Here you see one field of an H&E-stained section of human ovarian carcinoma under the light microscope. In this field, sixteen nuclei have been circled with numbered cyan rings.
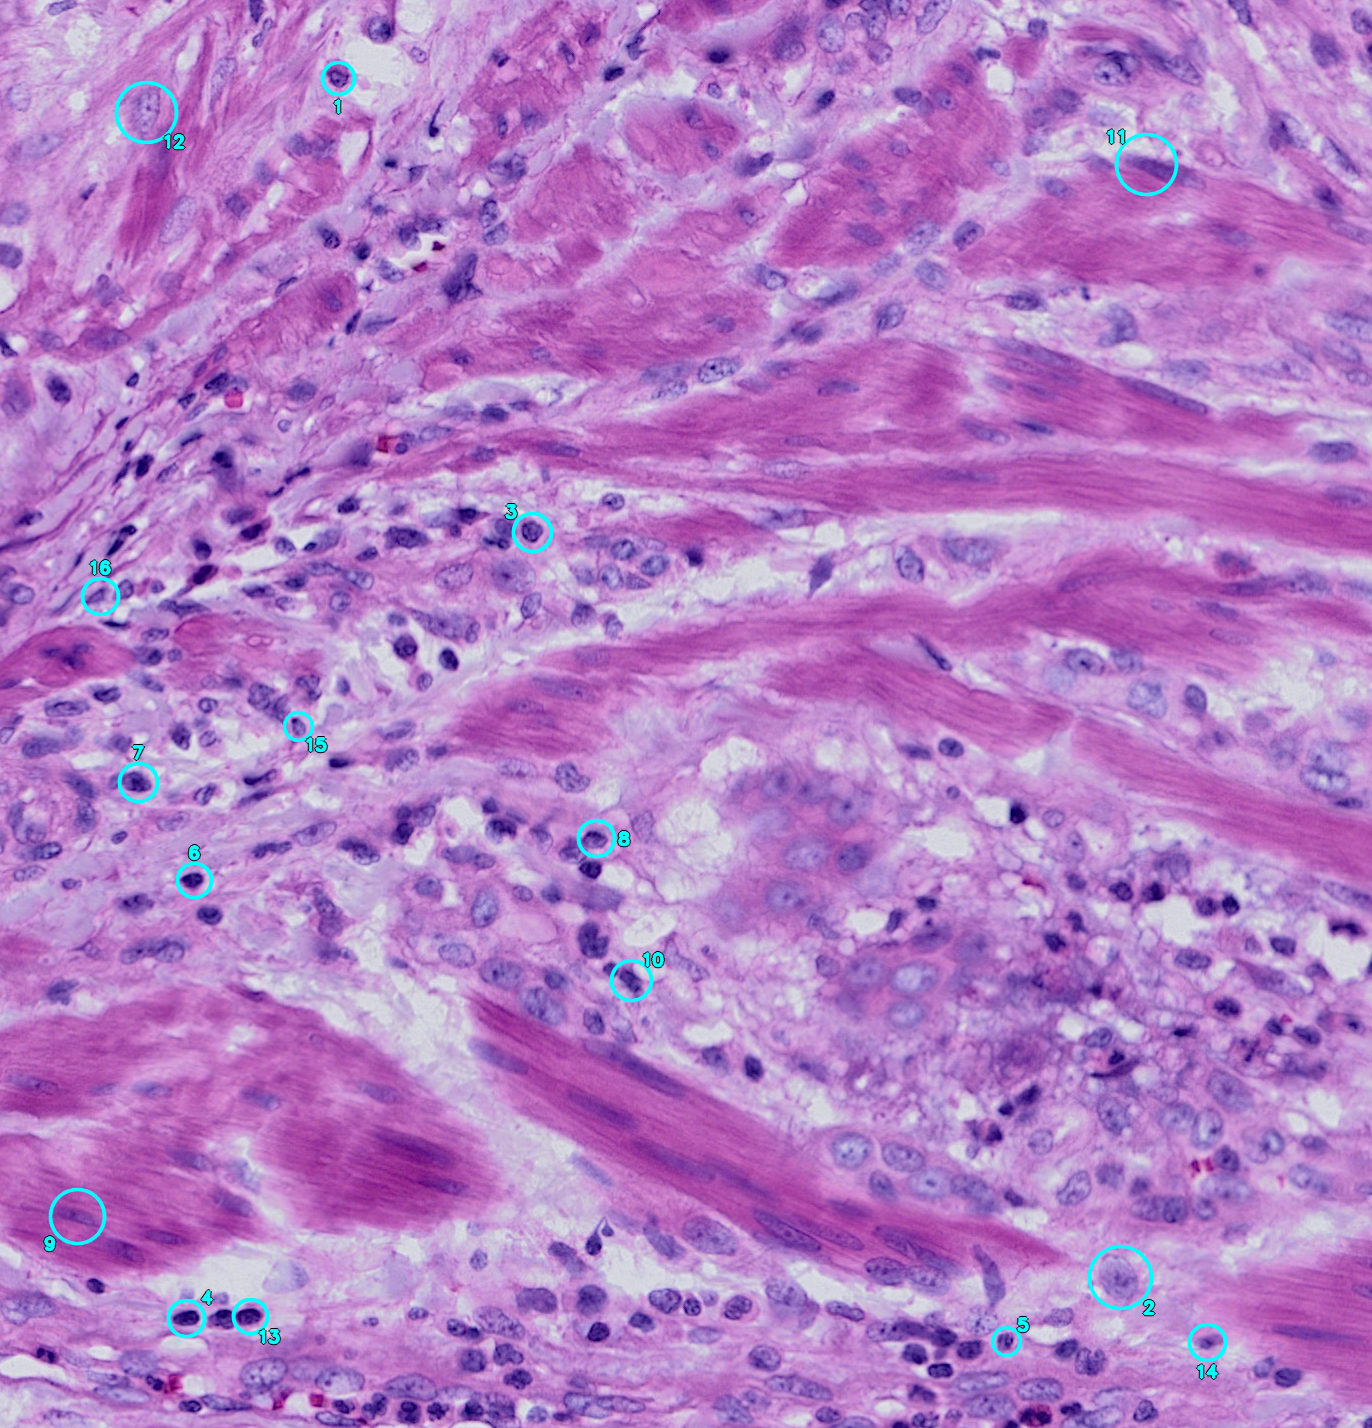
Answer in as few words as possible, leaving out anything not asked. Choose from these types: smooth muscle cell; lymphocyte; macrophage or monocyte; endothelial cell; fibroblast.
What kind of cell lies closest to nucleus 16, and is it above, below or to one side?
a macrophage or monocyte; to the right of nucleus 16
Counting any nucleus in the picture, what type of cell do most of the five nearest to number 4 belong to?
lymphocyte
